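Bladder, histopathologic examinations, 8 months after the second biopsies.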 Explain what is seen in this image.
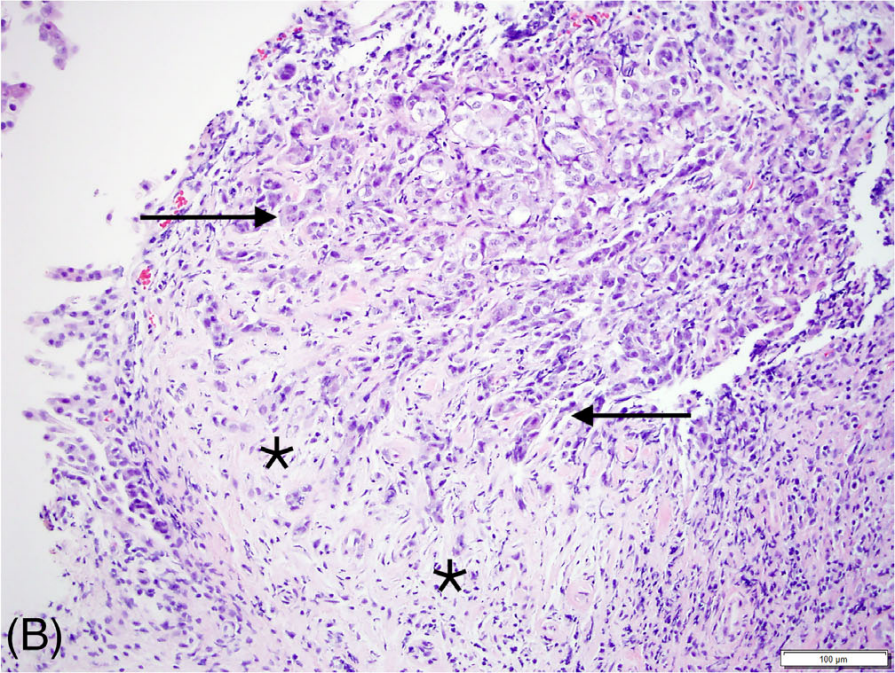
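At lower magnification, neoplastic urothelium is seen pushing down into the underlying propria. In the upper part, groups of large pale epithelial cells with clear to pink cytoplasm form irregular, ragged fronds that reach into the stroma. Beneath them lies pale pink fibrous tissue with scattered spindle-shaped nuclei. The fibrous tissue looks loose and pale compared with the crowded cellular areas around it.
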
